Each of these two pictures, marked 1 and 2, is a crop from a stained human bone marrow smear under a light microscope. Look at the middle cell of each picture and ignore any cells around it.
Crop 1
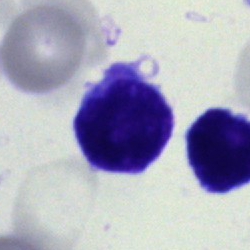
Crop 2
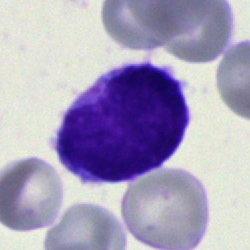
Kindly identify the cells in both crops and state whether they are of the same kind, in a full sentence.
Yes, the crops both have blasts in the middle.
